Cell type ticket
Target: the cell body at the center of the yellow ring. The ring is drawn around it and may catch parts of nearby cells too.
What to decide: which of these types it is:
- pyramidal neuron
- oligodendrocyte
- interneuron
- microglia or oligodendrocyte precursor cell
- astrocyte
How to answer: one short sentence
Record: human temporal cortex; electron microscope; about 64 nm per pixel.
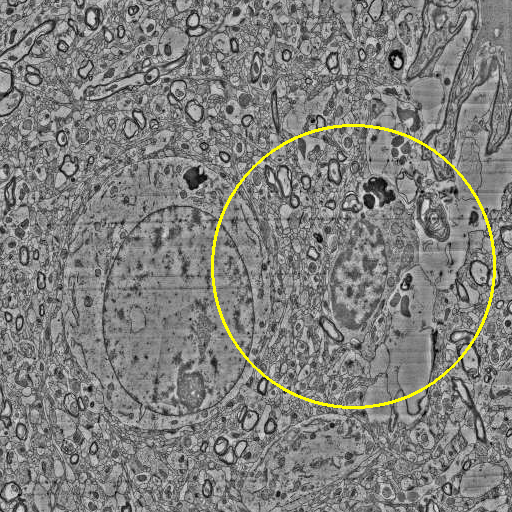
The cell at the center of the ring is an oligodendrocyte.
